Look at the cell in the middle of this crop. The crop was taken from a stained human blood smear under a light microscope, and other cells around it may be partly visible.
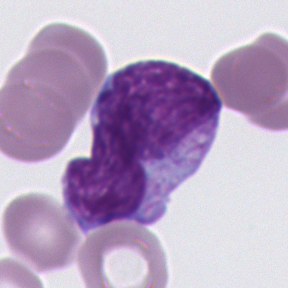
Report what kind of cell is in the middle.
atypical promyelocyte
